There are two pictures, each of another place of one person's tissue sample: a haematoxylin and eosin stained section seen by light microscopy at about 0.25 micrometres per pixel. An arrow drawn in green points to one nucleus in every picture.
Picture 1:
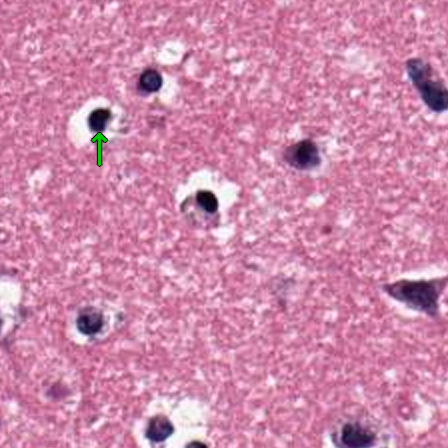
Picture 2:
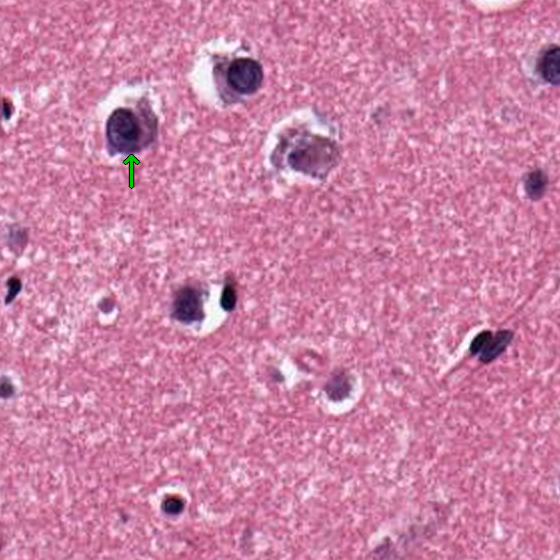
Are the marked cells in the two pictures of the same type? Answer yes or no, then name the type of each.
No, the first is an oligodendrocyte and the second a neuron.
